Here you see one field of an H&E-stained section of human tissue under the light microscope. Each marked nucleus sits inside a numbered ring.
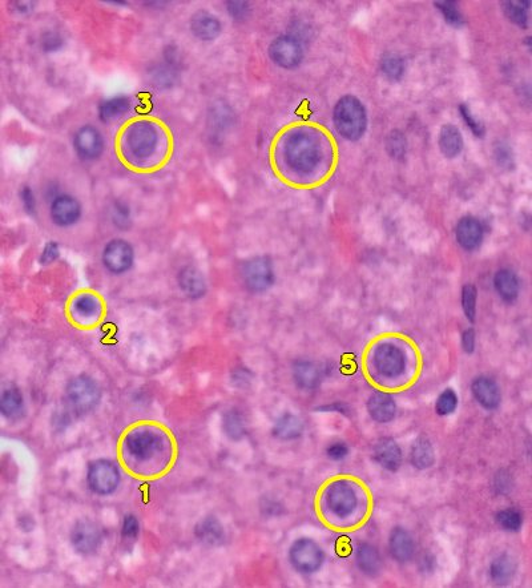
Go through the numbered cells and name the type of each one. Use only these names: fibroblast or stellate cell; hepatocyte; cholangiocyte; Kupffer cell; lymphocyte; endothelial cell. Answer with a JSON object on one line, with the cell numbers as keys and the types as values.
{"1": "fibroblast or stellate cell", "2": "lymphocyte", "3": "hepatocyte", "4": "hepatocyte", "5": "hepatocyte", "6": "hepatocyte"}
